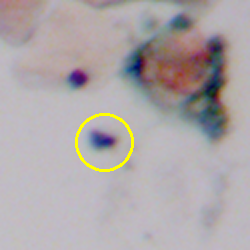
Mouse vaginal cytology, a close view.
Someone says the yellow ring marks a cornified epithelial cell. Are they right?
They are not: the ring marks a leukocyte.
